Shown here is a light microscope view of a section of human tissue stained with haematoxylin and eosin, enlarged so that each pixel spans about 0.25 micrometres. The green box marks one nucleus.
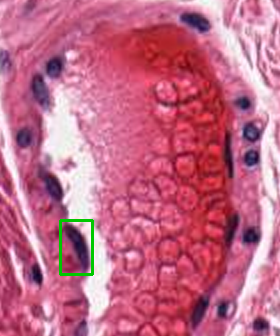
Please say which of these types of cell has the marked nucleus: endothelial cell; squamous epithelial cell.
endothelial cell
